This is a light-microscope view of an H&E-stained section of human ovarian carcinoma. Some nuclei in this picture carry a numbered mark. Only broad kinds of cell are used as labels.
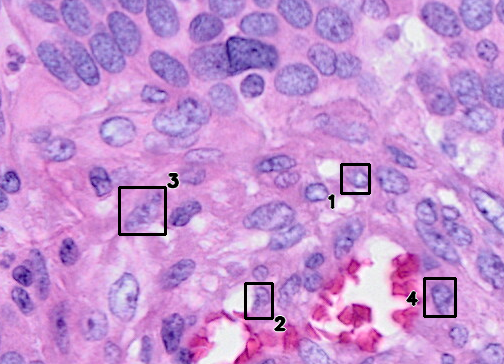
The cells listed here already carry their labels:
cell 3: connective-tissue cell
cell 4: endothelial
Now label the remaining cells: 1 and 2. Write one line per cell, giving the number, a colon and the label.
1: connective-tissue cell
2: endothelial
